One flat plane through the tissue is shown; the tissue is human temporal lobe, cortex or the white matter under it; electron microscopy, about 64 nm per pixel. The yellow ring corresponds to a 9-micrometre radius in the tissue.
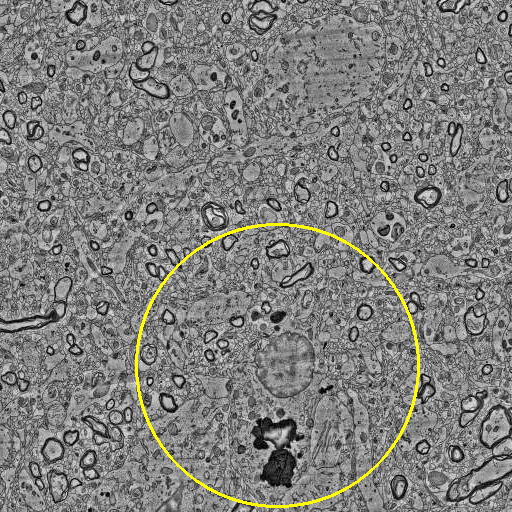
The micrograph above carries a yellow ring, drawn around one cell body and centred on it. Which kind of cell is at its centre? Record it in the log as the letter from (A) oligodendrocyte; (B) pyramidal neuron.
A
